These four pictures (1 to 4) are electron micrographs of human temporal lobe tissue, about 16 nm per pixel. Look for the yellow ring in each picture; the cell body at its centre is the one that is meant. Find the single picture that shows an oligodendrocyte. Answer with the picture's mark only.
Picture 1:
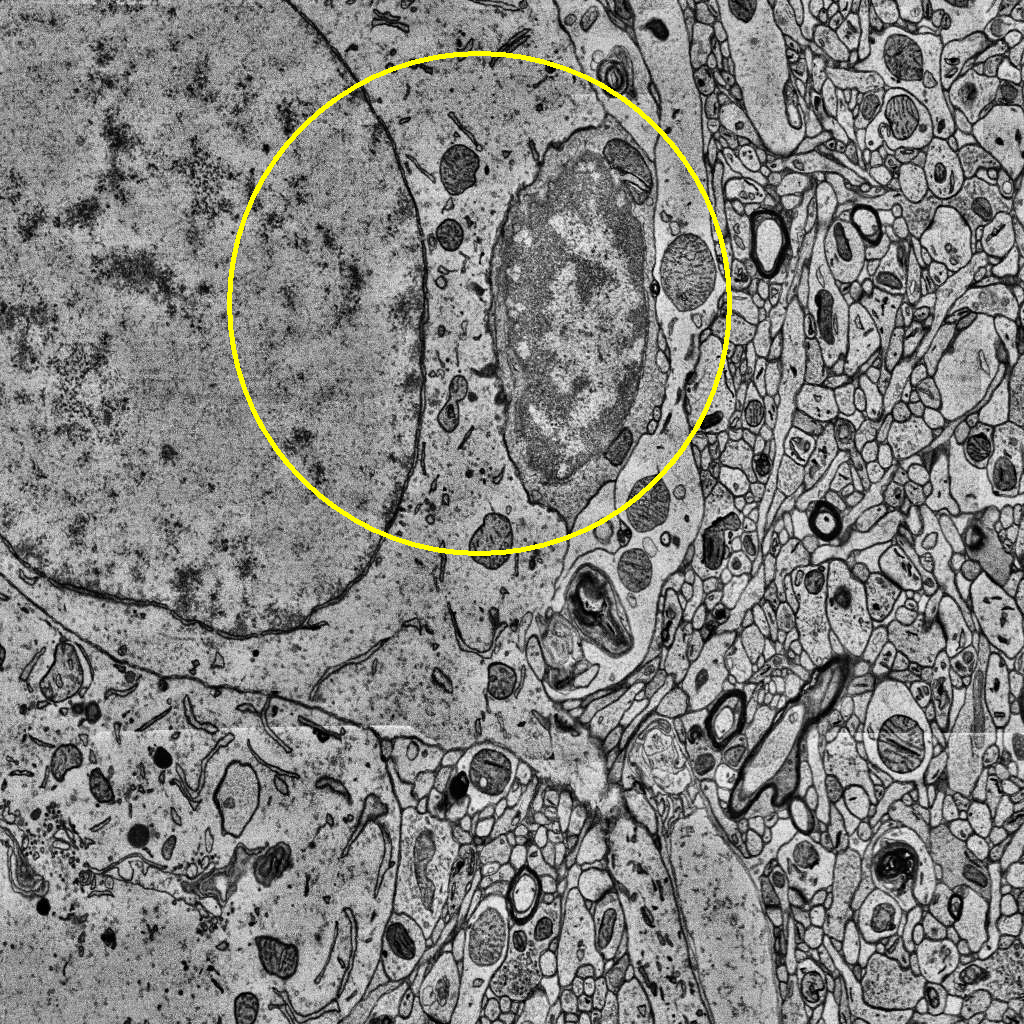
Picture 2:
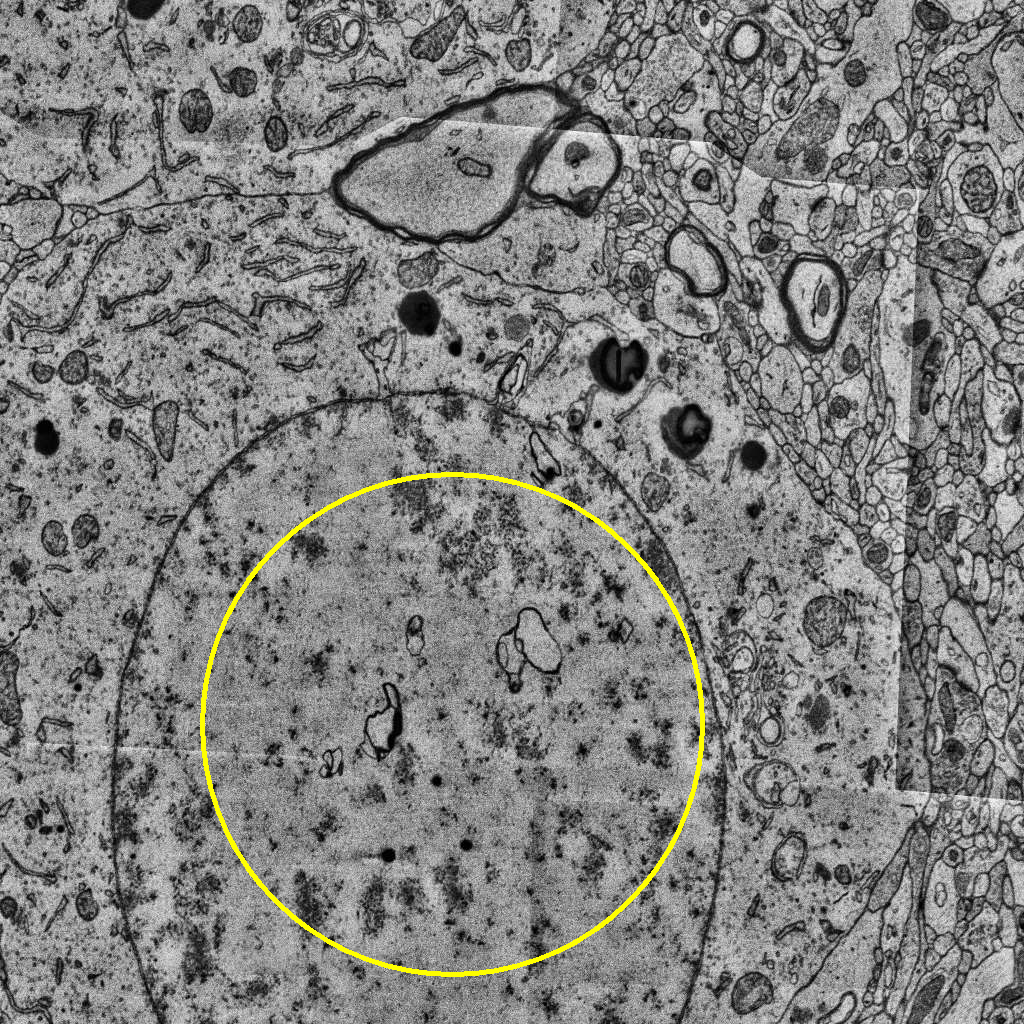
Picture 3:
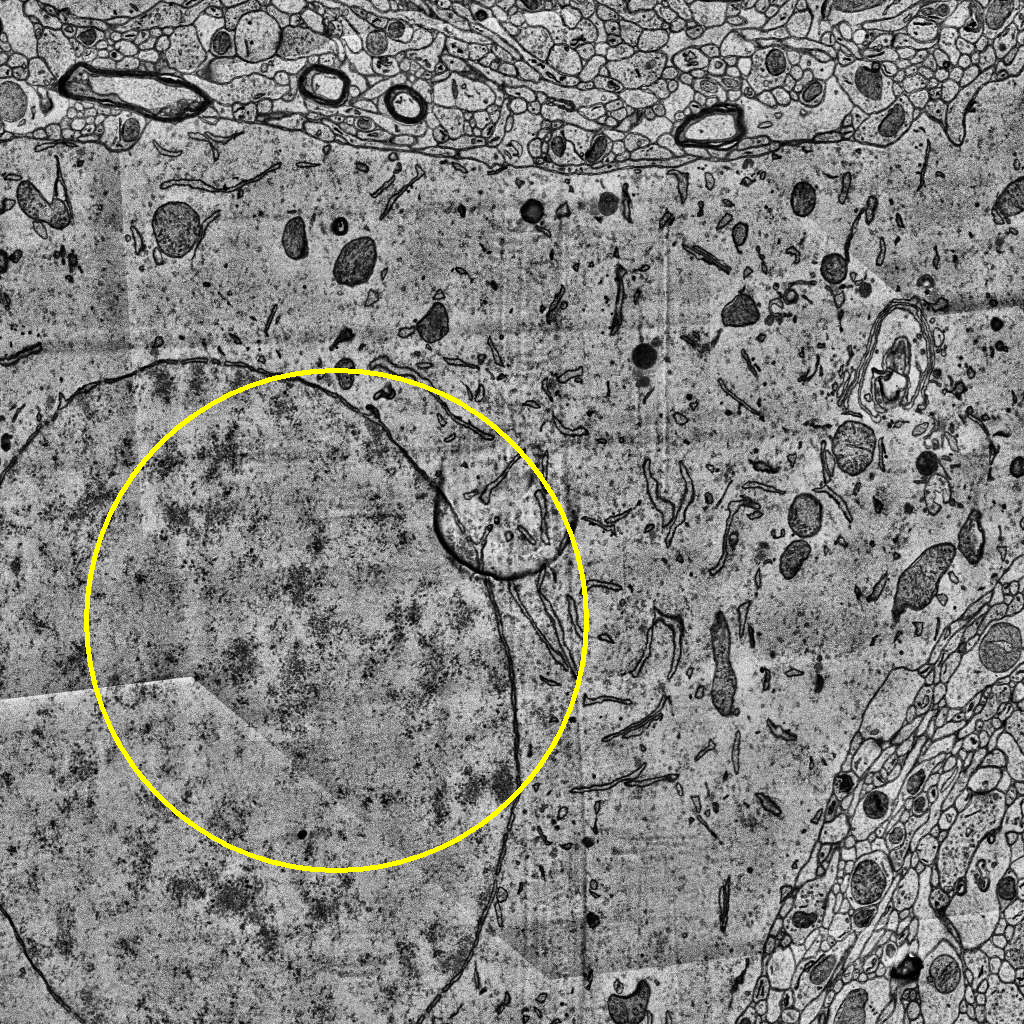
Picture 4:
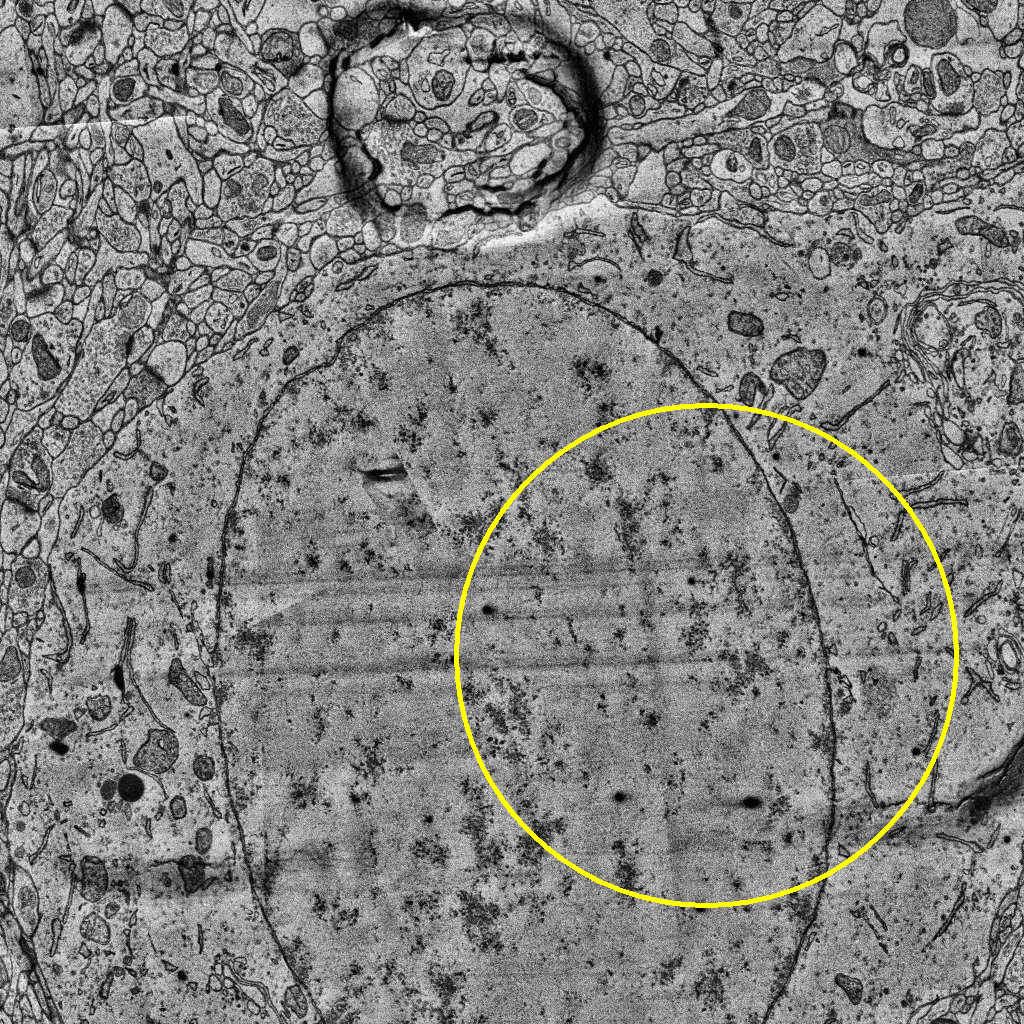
1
